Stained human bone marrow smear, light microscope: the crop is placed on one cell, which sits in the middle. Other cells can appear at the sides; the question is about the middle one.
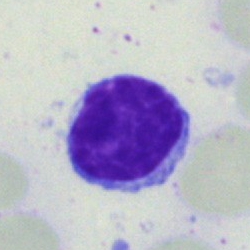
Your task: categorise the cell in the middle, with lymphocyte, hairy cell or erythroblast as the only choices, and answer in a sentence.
The cell featured at the centre of this crop is a lymphocyte.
